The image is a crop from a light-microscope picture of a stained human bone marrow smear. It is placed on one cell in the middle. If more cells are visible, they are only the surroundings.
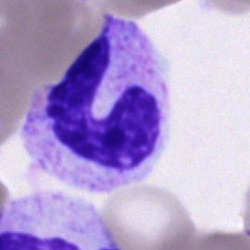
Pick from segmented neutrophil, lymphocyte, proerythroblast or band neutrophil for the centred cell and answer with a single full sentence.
The identification for the central cell is a band neutrophil.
